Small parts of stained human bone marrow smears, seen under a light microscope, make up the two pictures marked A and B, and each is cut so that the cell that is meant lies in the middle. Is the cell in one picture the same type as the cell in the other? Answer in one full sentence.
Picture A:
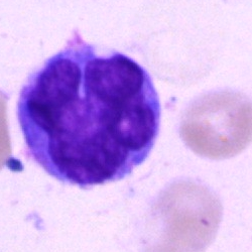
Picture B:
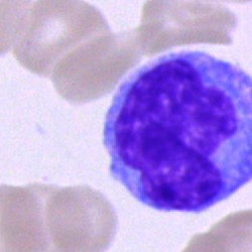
Yes, both cells are monocytes.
